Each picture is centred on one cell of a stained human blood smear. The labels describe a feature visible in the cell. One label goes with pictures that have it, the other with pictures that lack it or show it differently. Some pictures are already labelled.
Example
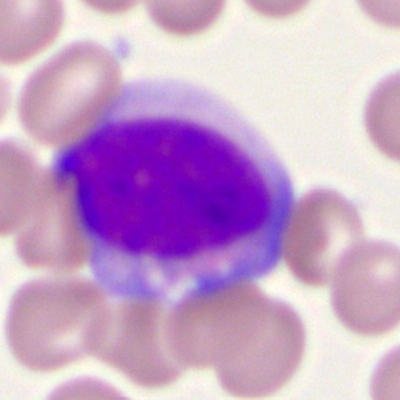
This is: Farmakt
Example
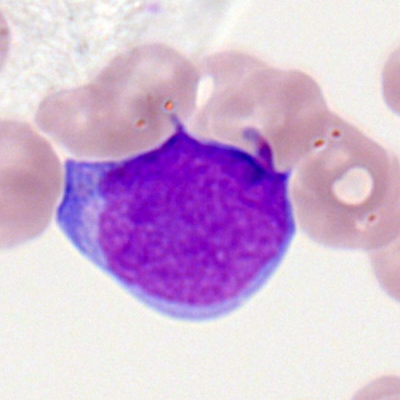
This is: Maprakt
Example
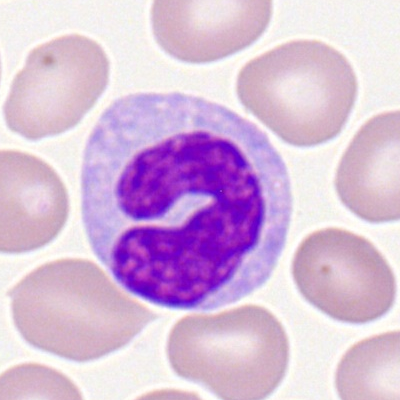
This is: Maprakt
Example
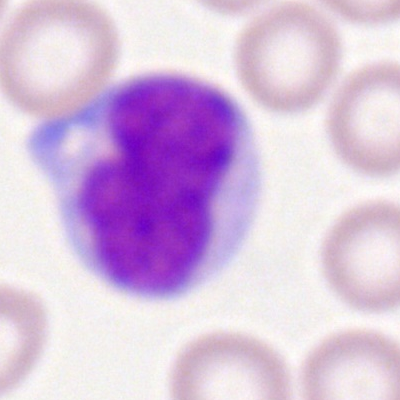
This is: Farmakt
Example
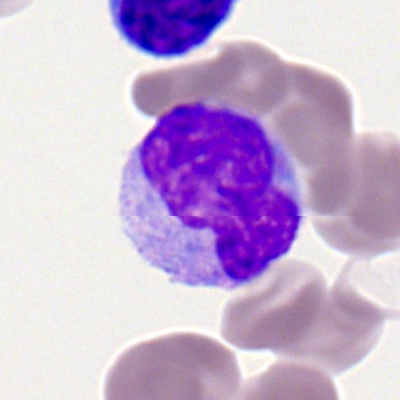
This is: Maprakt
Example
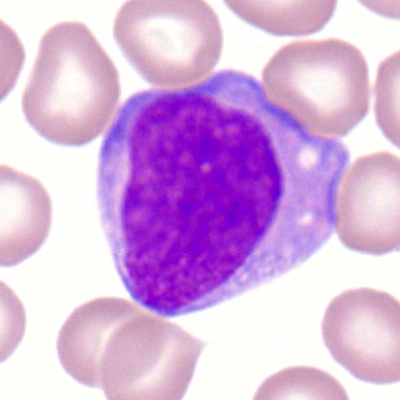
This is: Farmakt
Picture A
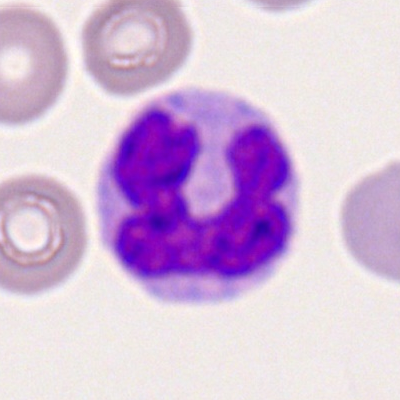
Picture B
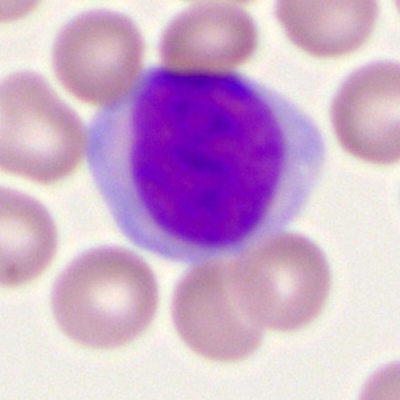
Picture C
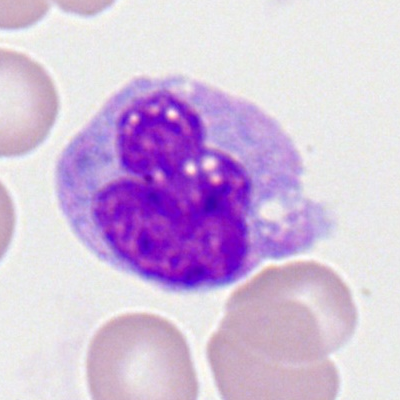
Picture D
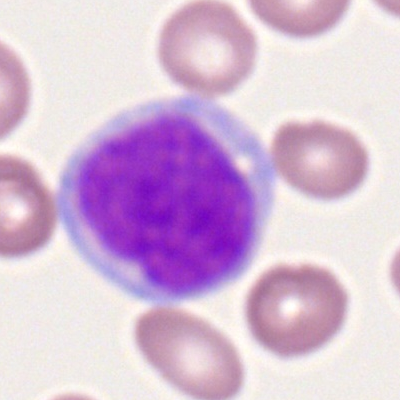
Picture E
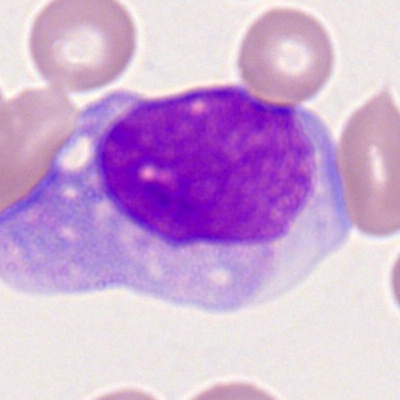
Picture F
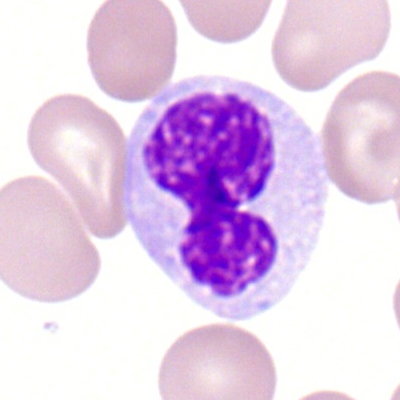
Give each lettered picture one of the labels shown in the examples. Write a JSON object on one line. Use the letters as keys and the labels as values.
{"A": "Maprakt", "B": "Maprakt", "C": "Farmakt", "D": "Farmakt", "E": "Farmakt", "F": "Maprakt"}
